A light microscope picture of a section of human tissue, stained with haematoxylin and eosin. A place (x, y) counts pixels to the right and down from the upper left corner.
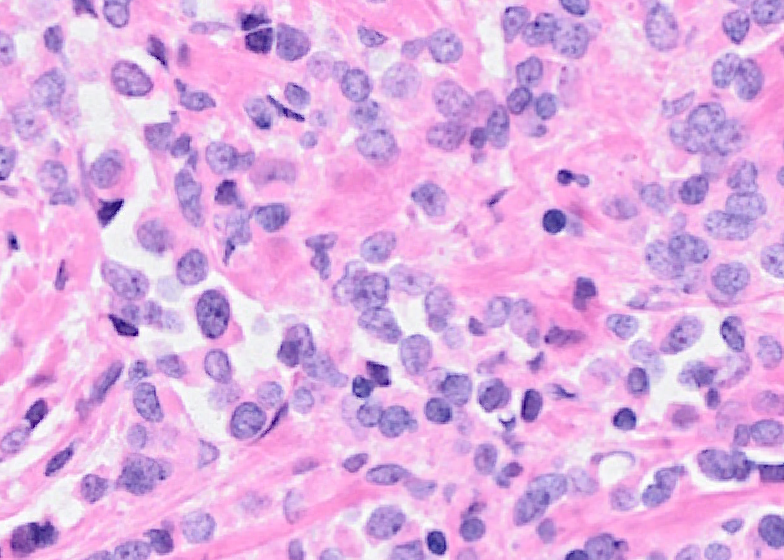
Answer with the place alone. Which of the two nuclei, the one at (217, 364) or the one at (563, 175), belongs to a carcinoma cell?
(217, 364)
